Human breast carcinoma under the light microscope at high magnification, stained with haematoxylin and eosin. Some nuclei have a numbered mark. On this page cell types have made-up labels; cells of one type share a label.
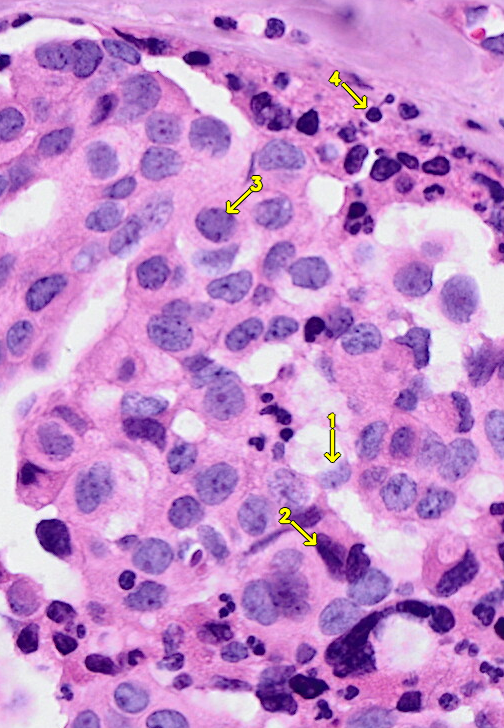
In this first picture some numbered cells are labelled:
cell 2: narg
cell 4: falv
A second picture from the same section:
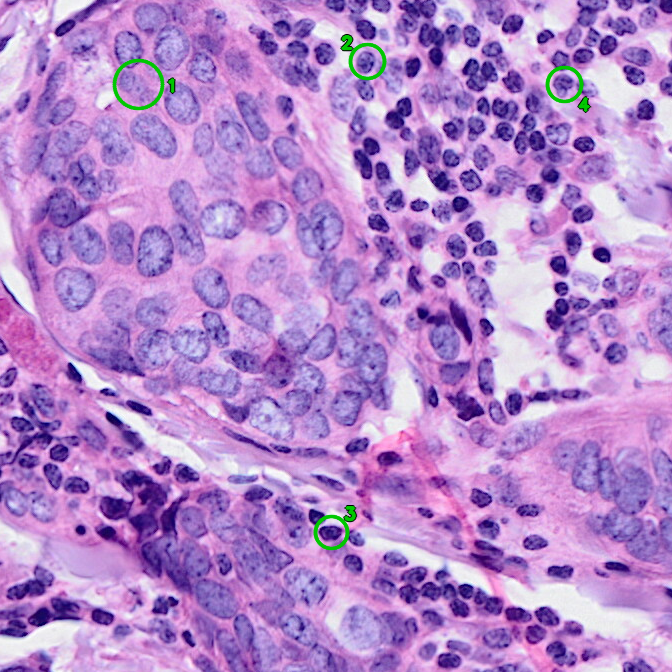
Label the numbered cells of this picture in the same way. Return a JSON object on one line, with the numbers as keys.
{"1": "narg", "2": "falv", "3": "falv", "4": "falv"}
